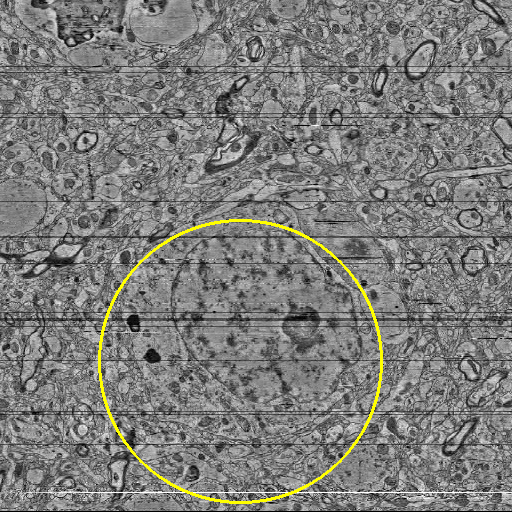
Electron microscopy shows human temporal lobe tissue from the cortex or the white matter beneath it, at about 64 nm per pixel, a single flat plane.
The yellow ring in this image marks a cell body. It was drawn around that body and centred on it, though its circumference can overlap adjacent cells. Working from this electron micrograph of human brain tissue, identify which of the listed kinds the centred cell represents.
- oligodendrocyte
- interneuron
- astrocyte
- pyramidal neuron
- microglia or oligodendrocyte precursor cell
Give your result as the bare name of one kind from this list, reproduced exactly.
pyramidal neuron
